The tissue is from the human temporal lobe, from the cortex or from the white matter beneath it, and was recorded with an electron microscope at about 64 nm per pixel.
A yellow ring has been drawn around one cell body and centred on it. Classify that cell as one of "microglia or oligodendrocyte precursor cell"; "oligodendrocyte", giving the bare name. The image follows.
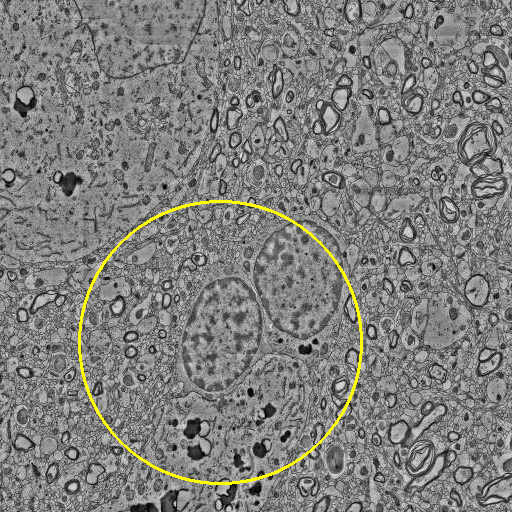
oligodendrocyte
